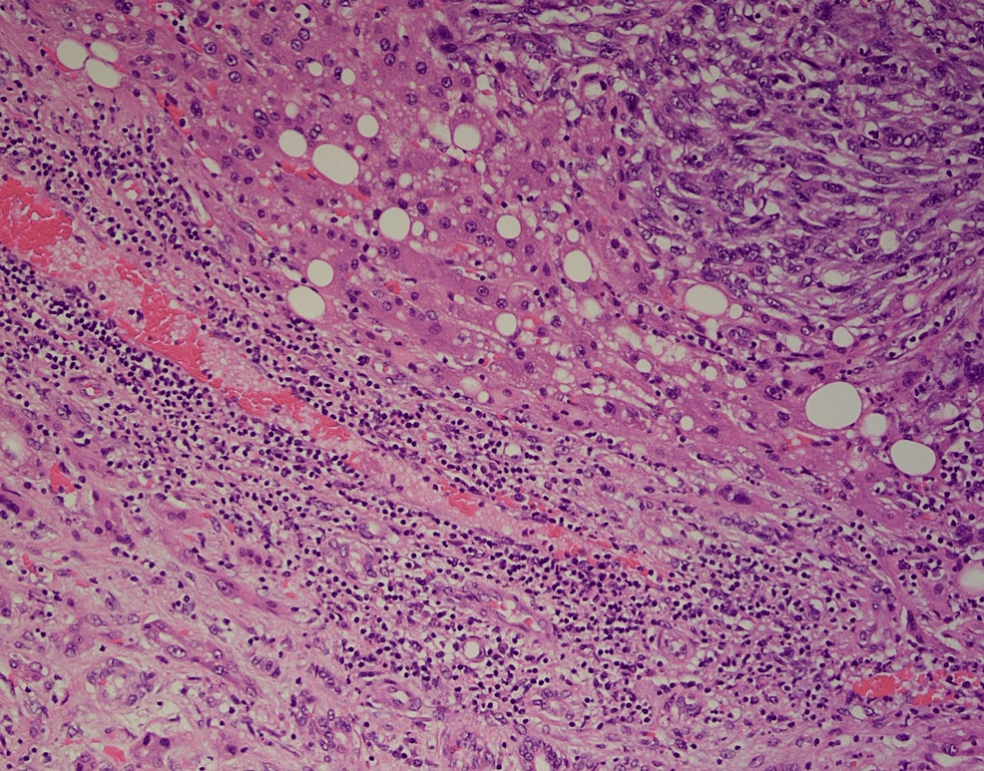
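Liver tissue is seen in which the upper part shows polygonal hepatocytes with pink cytoplasm and round central nuclei, many containing clear, round vacuoles of varying size. A dense band of small, round, dark-staining inflammatory cells runs diagonally across the middle of the field, accompanied by congested vessels filled with red blood cells. In the upper right corner there is a cellular area of crowded, elongated to oval cells with enlarged nuclei arranged in swirling, streaming bundles. In the lower left the tissue contains fibrous stroma with scattered cells bearing enlarged, vesicular nuclei, some forming small clusters and tubular shapes. The normal plate-like arrangement of hepatocytes is disrupted where these different components meet.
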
